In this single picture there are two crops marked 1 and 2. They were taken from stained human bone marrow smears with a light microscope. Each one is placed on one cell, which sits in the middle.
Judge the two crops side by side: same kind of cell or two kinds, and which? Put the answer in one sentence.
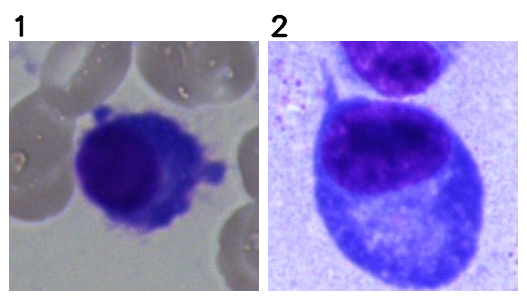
Yes, plasma cells are centred in both crops.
